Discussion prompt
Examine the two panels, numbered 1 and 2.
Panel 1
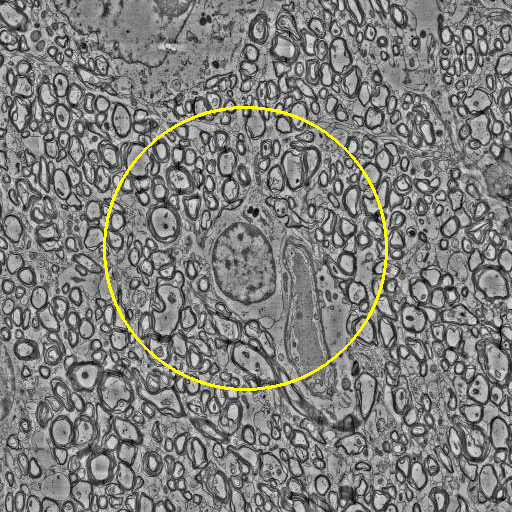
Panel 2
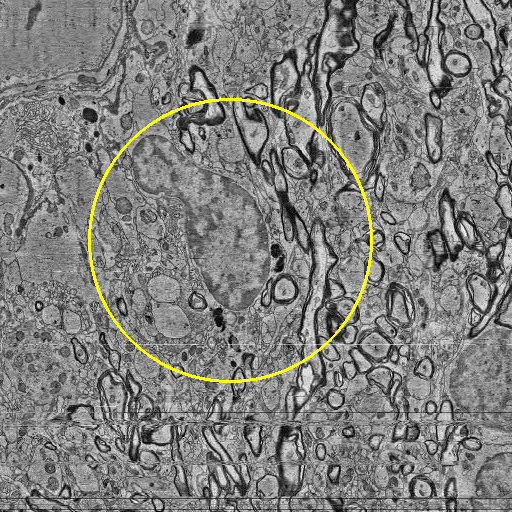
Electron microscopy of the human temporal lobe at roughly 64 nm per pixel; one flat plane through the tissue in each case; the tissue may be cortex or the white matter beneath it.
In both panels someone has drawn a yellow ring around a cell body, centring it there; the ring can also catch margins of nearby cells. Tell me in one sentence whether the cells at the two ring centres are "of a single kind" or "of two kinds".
Taken together, the two cells centred in the rings of Panels 1 and 2 are of a single kind.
